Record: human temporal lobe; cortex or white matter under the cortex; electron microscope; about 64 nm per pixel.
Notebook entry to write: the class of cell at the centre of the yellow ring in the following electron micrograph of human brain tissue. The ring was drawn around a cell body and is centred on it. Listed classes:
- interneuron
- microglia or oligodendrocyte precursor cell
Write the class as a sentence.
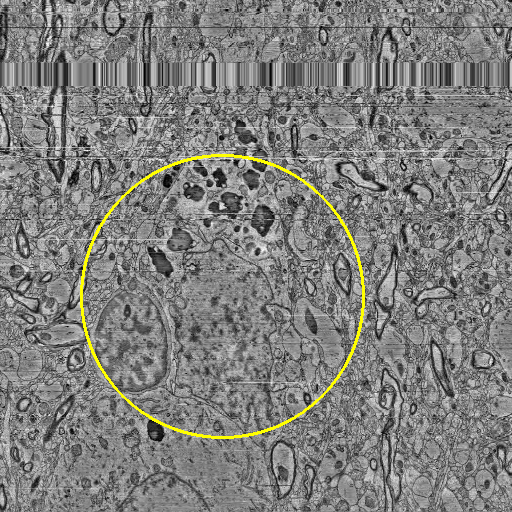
The yellow ring sits on an interneuron.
